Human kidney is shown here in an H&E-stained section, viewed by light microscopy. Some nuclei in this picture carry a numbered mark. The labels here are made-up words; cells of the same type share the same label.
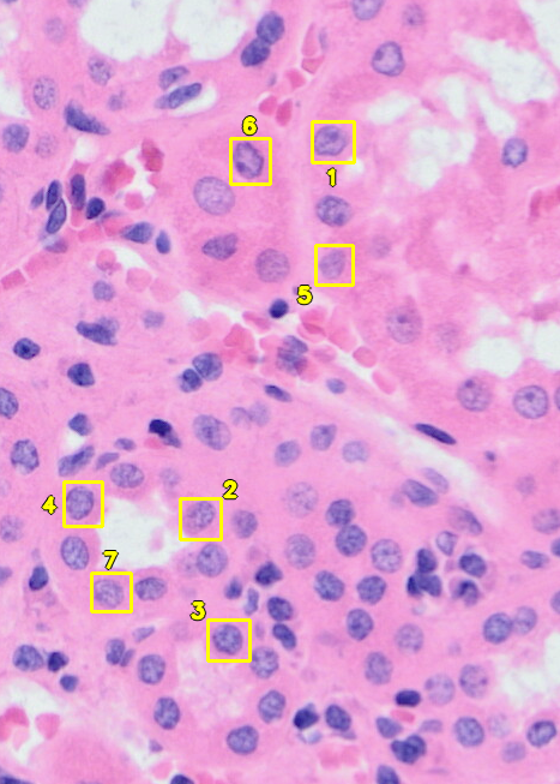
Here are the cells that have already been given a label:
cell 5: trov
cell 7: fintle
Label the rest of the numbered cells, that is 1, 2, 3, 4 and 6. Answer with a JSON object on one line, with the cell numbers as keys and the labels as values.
{"1": "trov", "2": "fintle", "3": "fintle", "4": "fintle", "6": "trov"}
